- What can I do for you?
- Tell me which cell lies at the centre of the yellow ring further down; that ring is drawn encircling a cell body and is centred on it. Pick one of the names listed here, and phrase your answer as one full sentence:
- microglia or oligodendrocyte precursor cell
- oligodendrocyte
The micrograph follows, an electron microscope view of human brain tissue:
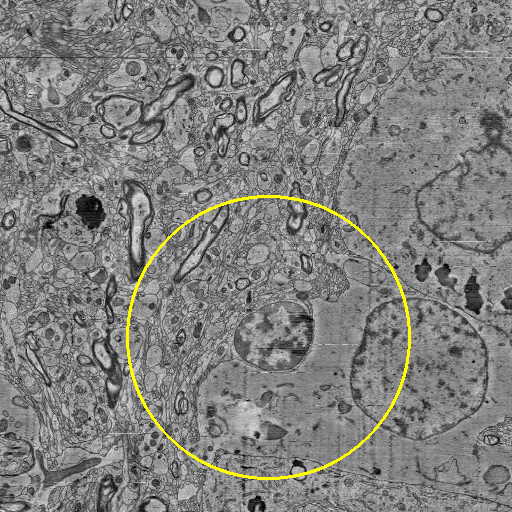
The cell whose body lies at the centre of the yellow ring is a microglial cell or oligodendrocyte precursor cell.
